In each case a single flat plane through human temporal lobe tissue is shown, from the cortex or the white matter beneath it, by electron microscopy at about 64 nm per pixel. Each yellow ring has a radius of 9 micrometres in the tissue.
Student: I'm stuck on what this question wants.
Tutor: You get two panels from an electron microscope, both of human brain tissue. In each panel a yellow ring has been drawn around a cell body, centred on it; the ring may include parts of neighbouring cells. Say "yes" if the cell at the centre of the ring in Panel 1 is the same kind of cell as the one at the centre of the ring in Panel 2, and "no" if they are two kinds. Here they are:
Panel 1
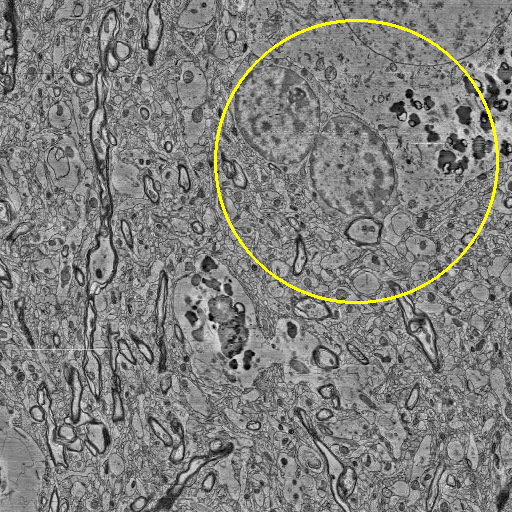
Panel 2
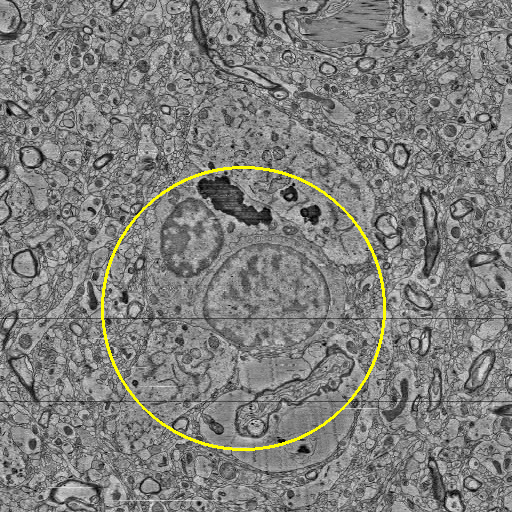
yes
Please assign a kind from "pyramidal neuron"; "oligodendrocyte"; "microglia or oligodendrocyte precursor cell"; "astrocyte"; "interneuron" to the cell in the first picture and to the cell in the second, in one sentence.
In the first picture and in the second, the ring is centred on an oligodendrocyte.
